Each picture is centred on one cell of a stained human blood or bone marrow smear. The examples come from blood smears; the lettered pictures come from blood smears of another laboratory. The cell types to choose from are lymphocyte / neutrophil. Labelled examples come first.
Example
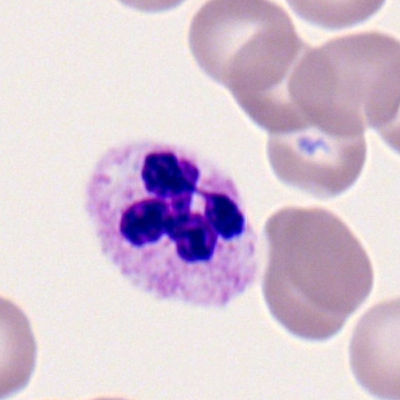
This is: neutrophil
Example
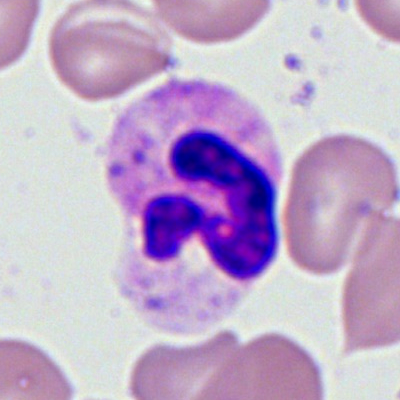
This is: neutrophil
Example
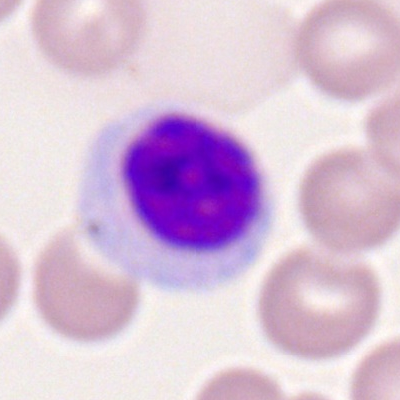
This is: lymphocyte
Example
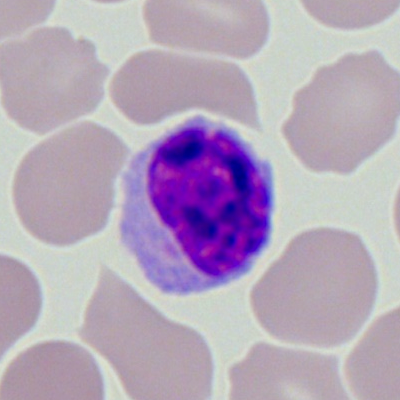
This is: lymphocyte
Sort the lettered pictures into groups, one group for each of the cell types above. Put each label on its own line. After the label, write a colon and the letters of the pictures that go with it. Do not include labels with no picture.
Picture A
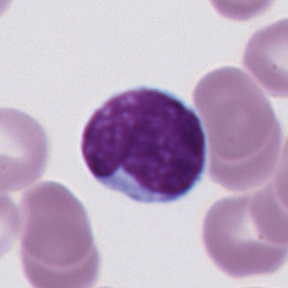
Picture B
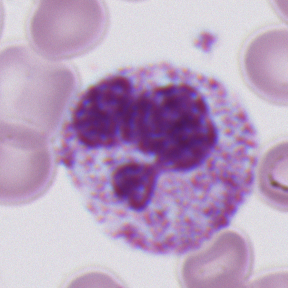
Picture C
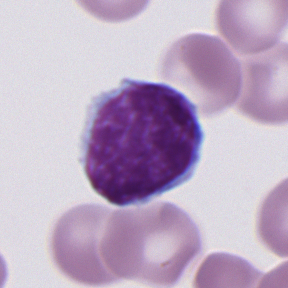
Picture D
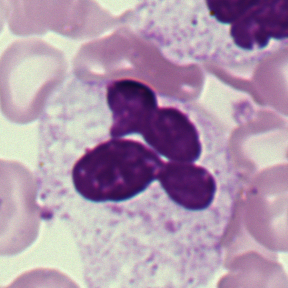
lymphocyte: A, C
neutrophil: B, D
